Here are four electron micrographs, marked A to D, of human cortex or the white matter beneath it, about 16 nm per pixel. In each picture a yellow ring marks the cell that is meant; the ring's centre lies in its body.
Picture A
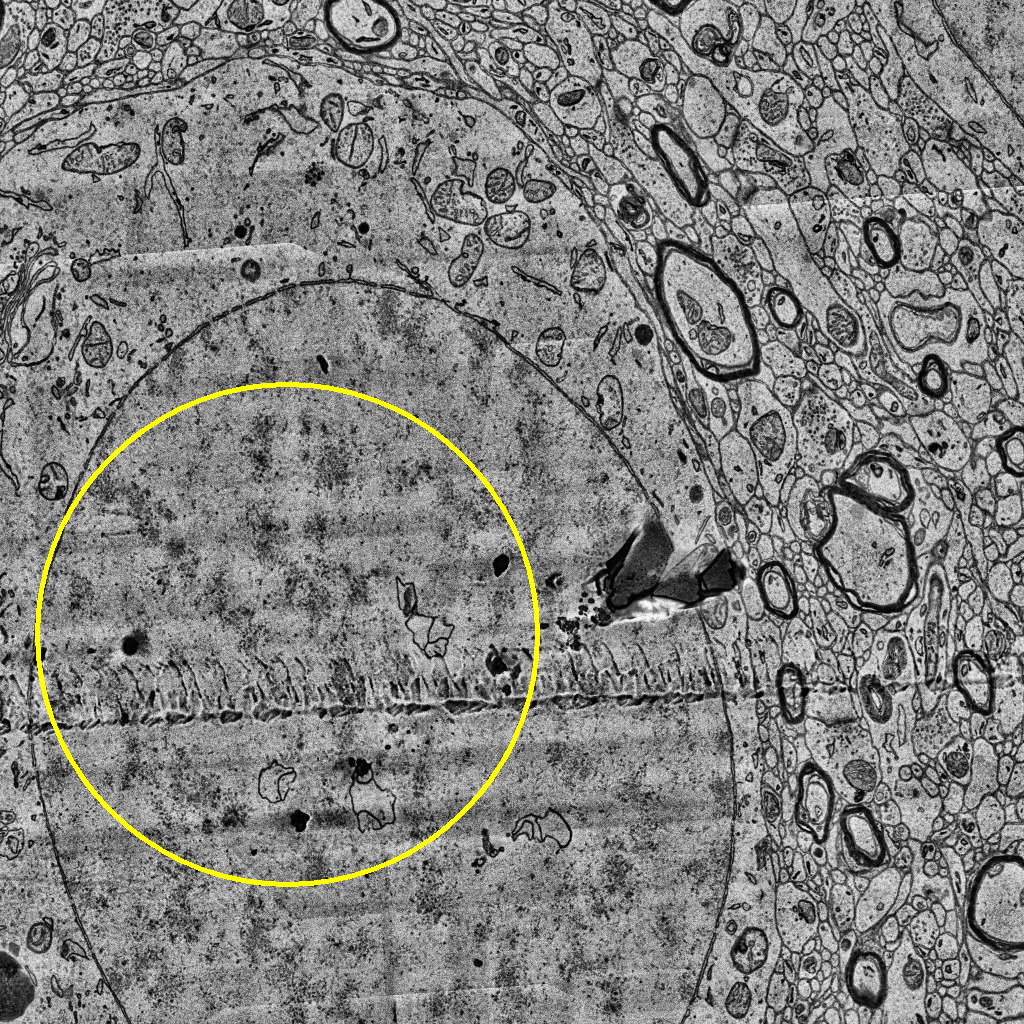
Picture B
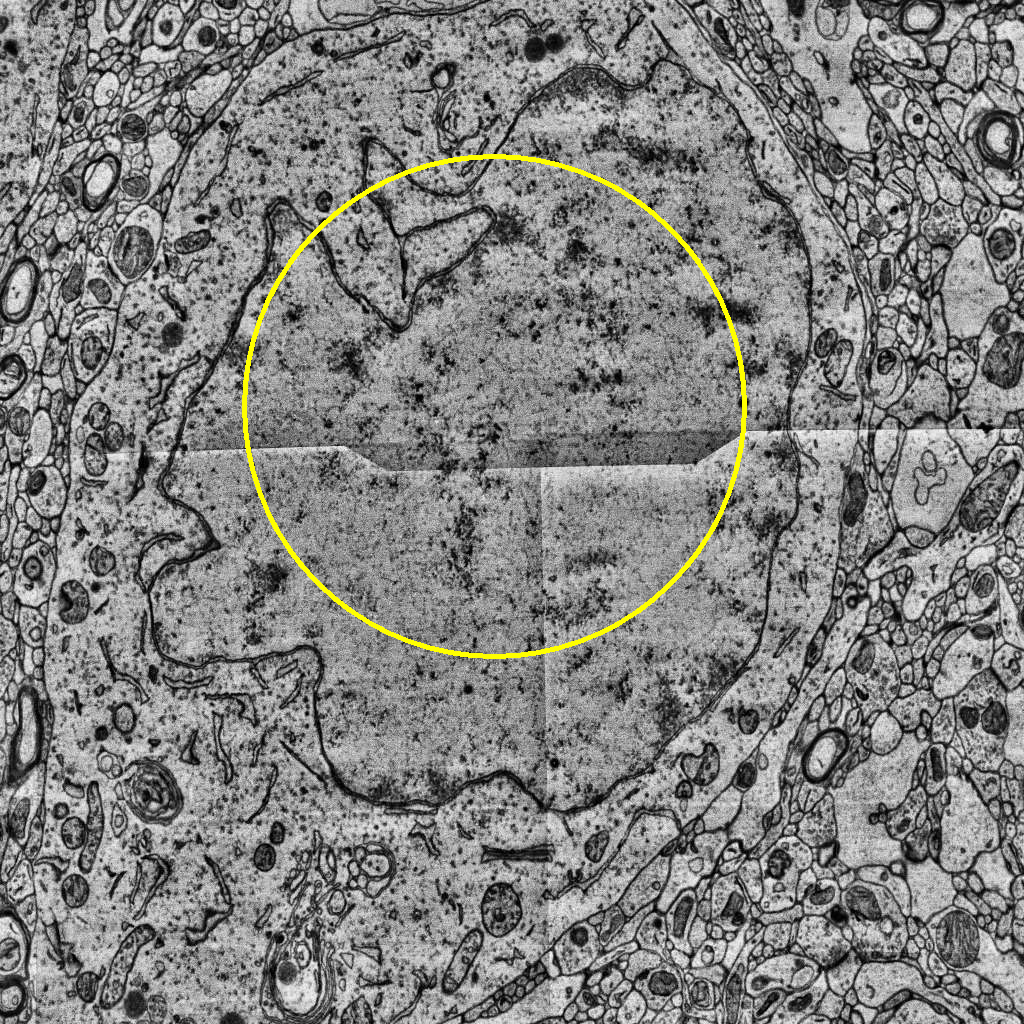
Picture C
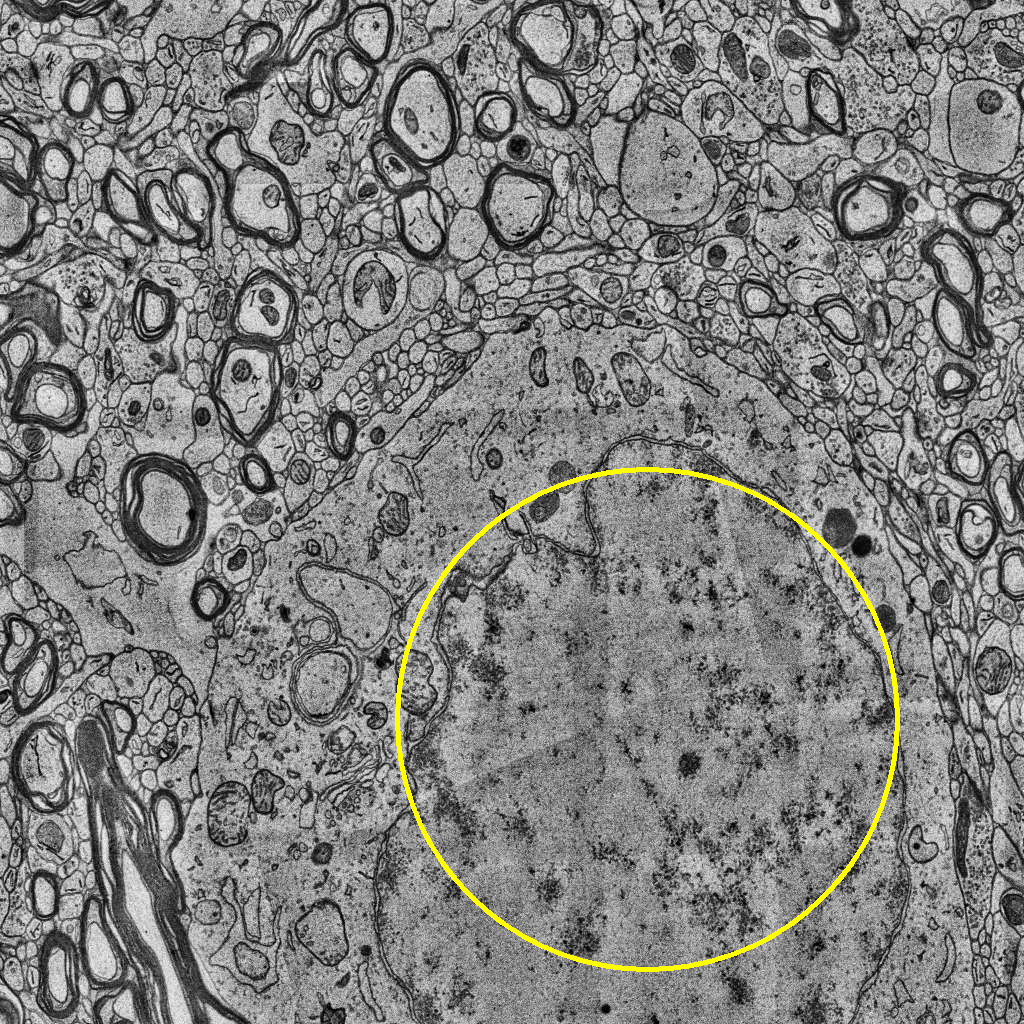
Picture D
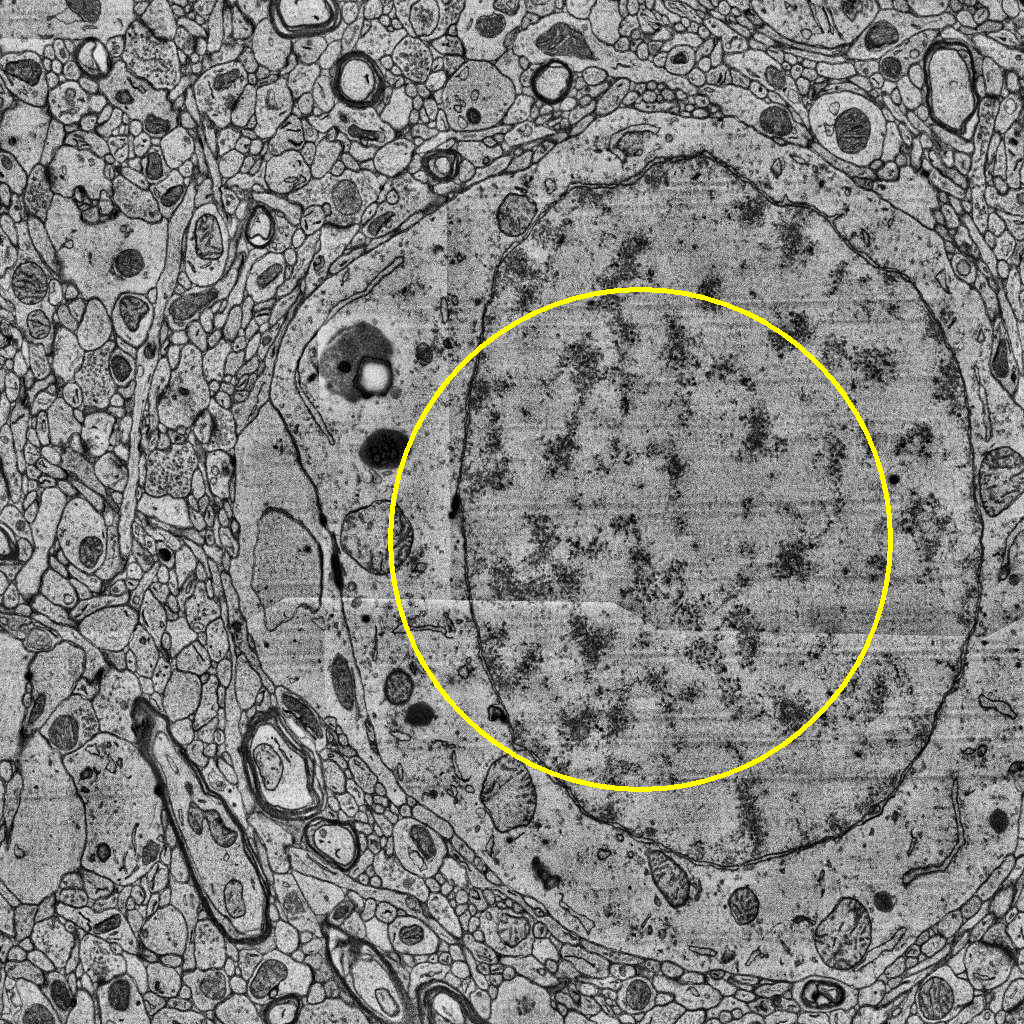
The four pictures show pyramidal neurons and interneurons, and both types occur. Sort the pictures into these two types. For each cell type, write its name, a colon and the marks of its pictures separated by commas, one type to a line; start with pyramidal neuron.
pyramidal neuron: A, D
interneuron: B, C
